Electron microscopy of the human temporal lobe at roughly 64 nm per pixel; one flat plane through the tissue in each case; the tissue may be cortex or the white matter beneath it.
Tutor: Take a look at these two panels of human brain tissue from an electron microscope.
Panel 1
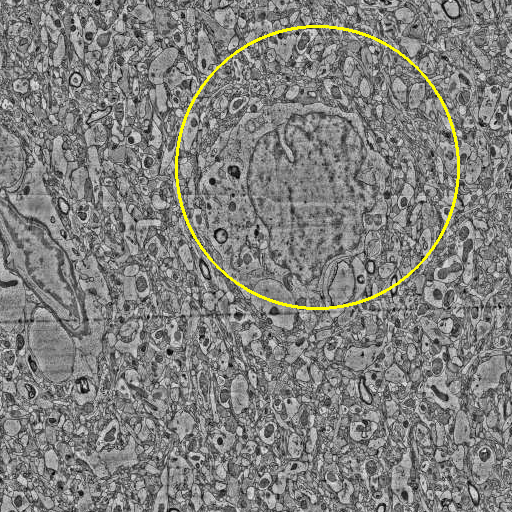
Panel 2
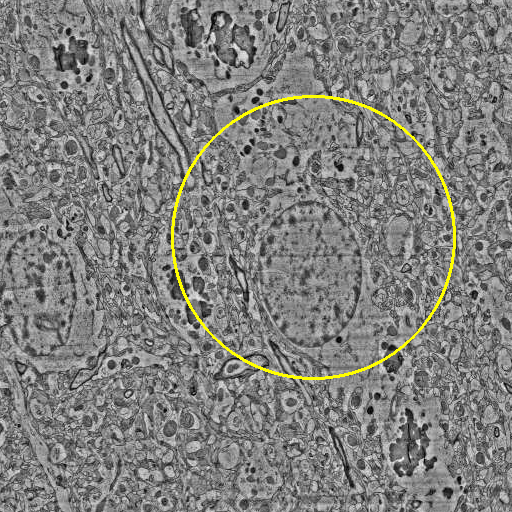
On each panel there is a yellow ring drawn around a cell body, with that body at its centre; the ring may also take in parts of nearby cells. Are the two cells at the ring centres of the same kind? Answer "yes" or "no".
no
